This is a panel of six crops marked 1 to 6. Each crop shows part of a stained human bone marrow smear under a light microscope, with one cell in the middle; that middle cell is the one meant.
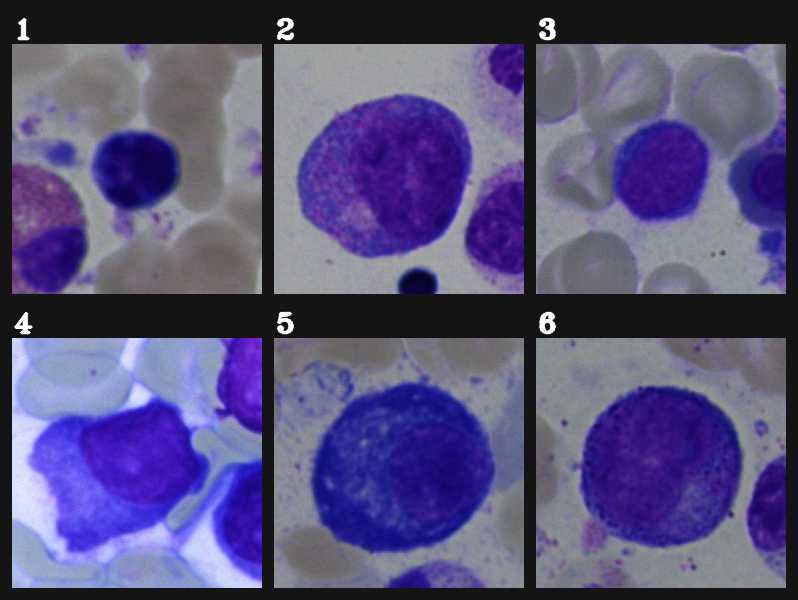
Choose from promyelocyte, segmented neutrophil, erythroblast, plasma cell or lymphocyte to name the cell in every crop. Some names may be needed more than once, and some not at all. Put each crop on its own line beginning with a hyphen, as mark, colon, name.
- 1: lymphocyte
- 2: promyelocyte
- 3: lymphocyte
- 4: plasma cell
- 5: plasma cell
- 6: promyelocyte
